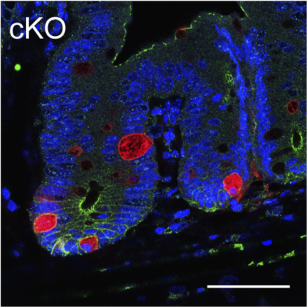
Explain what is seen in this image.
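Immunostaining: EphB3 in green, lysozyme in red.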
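This is intestinal epithelium with crypts running down toward the underlying connective tissue, with densely packed blue nuclei along the epithelial lining. Green cell outlines are present at the crypt bottom but are thinner and fainter than a strong honeycomb pattern, and faint green also traces cell borders higher in the epithelium. Large round red-stained bodies, each with a granular interior, lie within the epithelium, some at the crypt base and some positioned higher up the crypt wall. Below the epithelium, a connective tissue layer contains scattered nuclei and a few green specks.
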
